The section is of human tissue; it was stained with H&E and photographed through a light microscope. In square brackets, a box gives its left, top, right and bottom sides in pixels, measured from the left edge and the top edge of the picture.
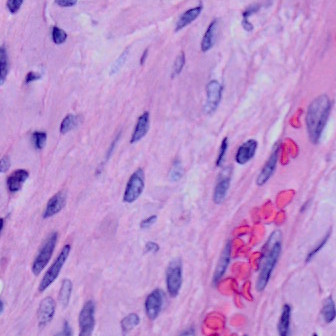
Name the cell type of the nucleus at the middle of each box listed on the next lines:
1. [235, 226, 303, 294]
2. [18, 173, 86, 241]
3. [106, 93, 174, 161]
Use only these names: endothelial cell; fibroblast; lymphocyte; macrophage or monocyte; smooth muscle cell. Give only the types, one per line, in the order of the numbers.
endothelial cell
fibroblast
fibroblast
